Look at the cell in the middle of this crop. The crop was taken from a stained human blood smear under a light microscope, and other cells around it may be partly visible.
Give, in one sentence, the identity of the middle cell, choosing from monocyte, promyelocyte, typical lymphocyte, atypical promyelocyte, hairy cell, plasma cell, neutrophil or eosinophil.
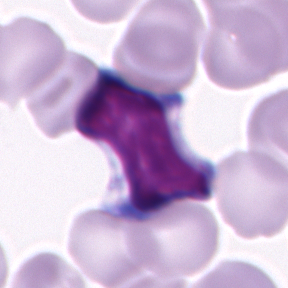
The cell occupying the middle of the crop is a typical lymphocyte.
